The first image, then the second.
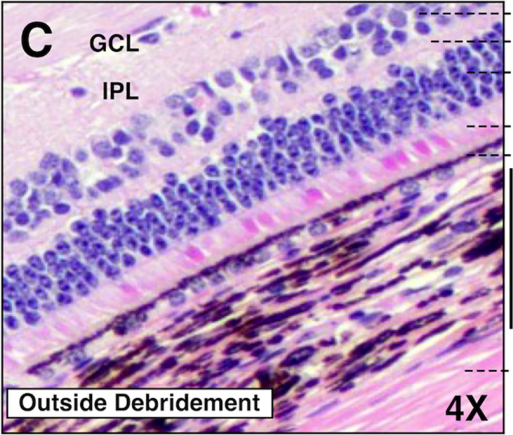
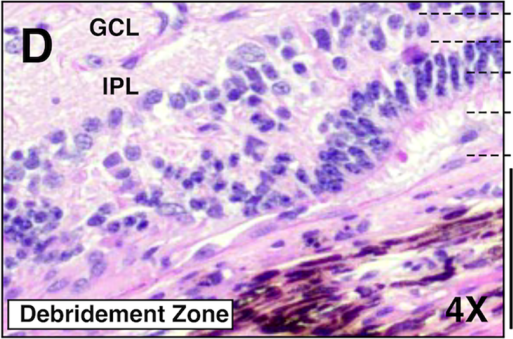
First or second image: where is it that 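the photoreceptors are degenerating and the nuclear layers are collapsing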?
the second image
